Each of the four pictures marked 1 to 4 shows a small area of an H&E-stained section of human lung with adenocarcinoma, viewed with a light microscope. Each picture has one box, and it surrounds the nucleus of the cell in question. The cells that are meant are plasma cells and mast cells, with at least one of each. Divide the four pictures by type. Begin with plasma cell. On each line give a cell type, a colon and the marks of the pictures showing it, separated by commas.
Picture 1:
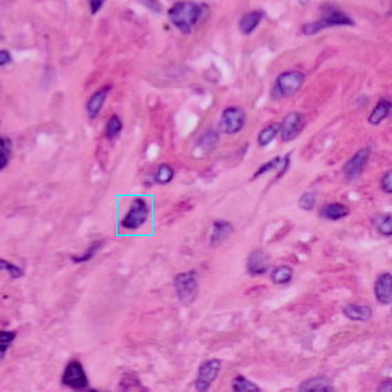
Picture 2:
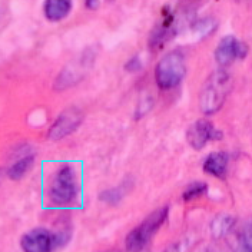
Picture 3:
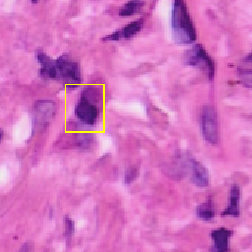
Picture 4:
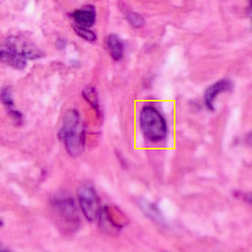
plasma cell: 2, 3, 4
mast cell: 1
